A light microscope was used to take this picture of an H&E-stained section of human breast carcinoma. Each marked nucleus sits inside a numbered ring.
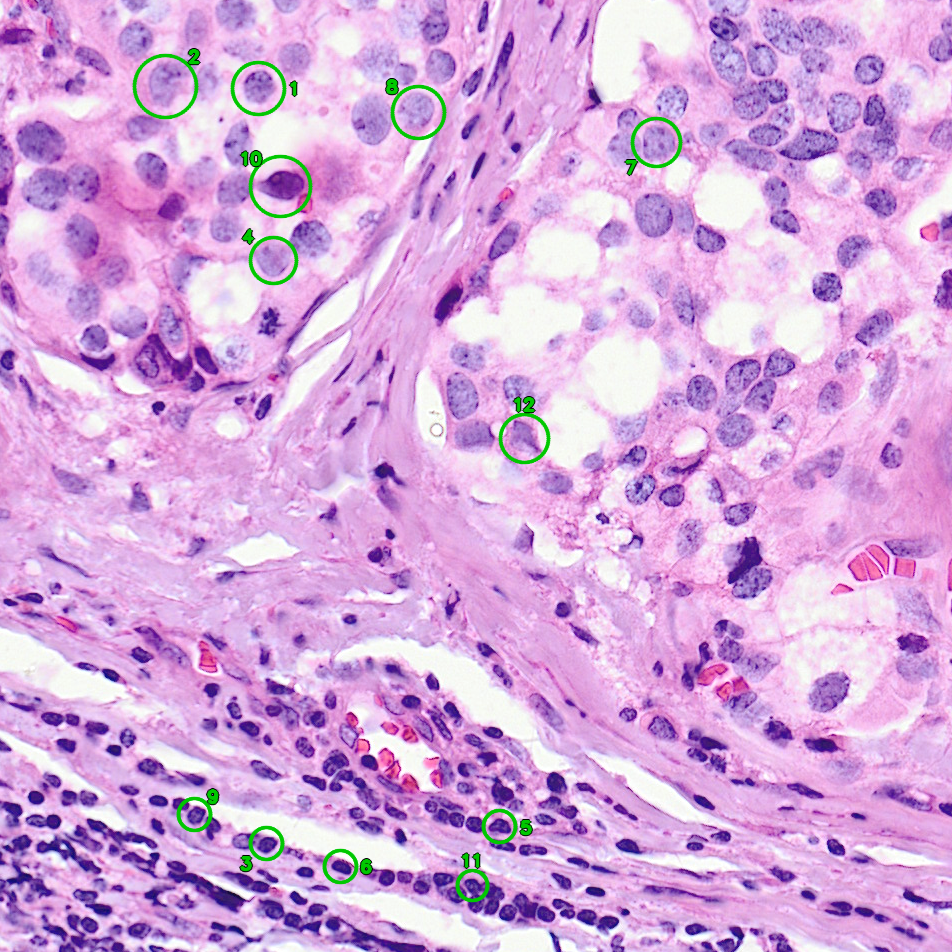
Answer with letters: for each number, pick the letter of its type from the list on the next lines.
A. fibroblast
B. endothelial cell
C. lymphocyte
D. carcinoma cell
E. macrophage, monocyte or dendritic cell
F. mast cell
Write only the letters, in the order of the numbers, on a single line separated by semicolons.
D; D; C; D; C; C; D; D; C; D; C; D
